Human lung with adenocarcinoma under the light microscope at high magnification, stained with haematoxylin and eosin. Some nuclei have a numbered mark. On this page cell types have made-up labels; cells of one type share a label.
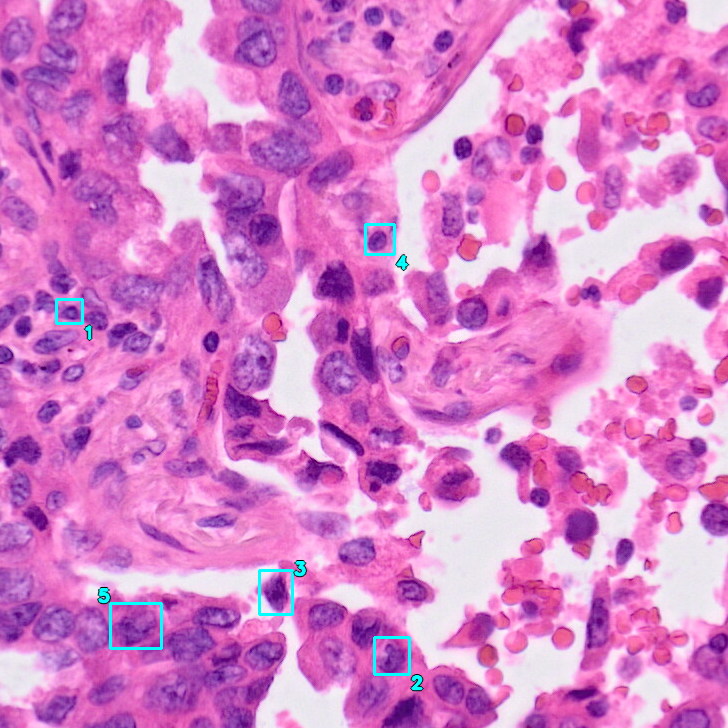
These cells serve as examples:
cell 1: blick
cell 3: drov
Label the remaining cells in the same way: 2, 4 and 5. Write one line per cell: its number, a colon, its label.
2: drov
4: blick
5: drov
